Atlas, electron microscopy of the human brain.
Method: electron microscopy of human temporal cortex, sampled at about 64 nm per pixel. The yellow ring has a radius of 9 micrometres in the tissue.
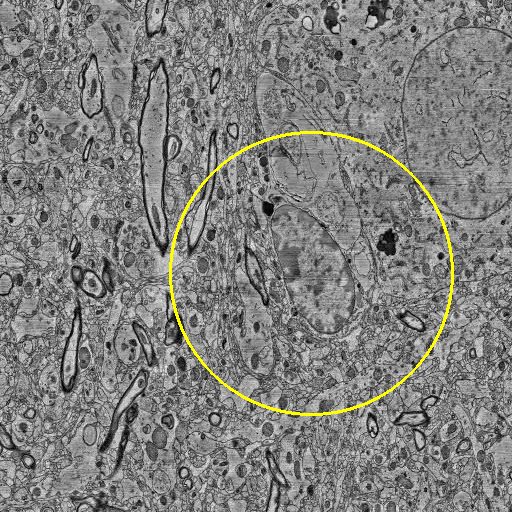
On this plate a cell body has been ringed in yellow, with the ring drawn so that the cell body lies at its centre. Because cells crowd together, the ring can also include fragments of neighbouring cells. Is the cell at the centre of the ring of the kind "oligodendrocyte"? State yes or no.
No, it is of another kind.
